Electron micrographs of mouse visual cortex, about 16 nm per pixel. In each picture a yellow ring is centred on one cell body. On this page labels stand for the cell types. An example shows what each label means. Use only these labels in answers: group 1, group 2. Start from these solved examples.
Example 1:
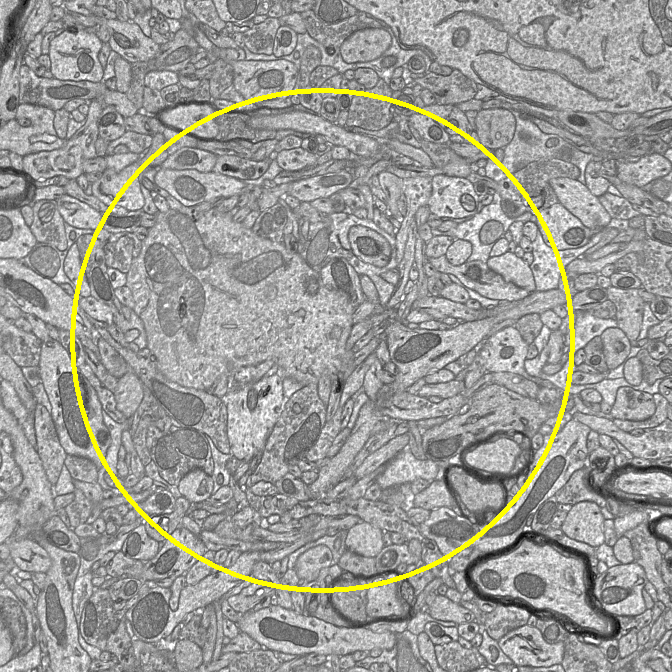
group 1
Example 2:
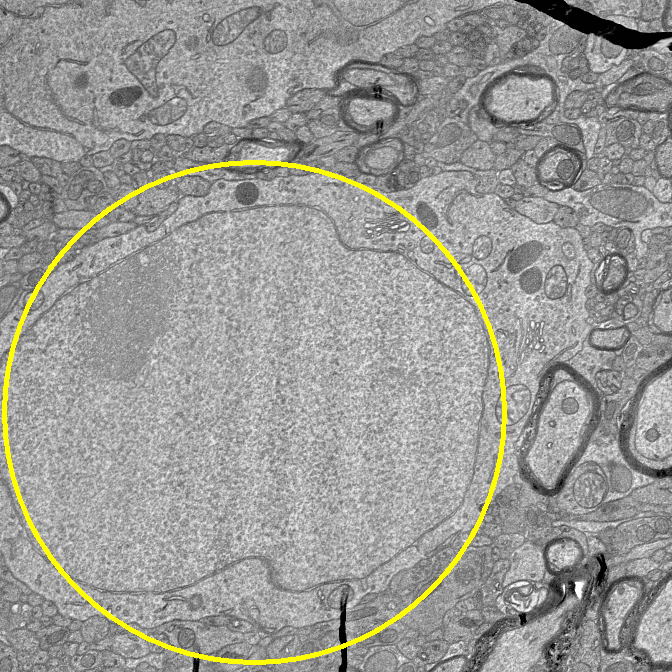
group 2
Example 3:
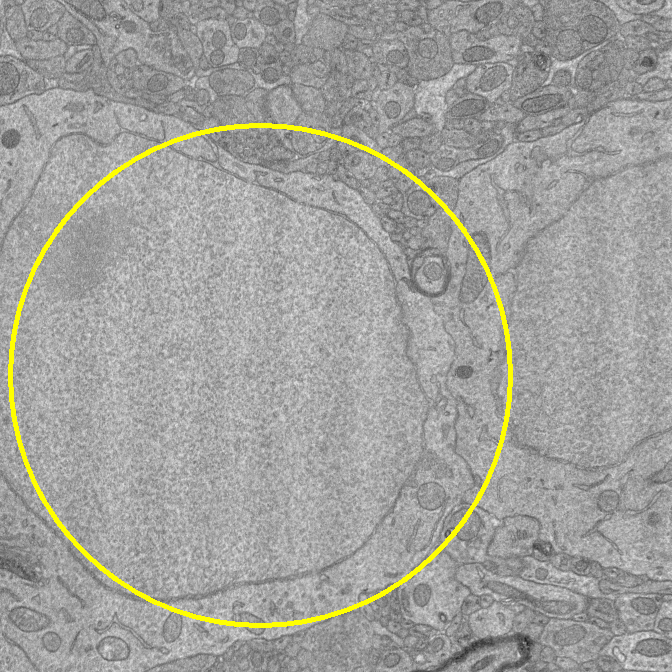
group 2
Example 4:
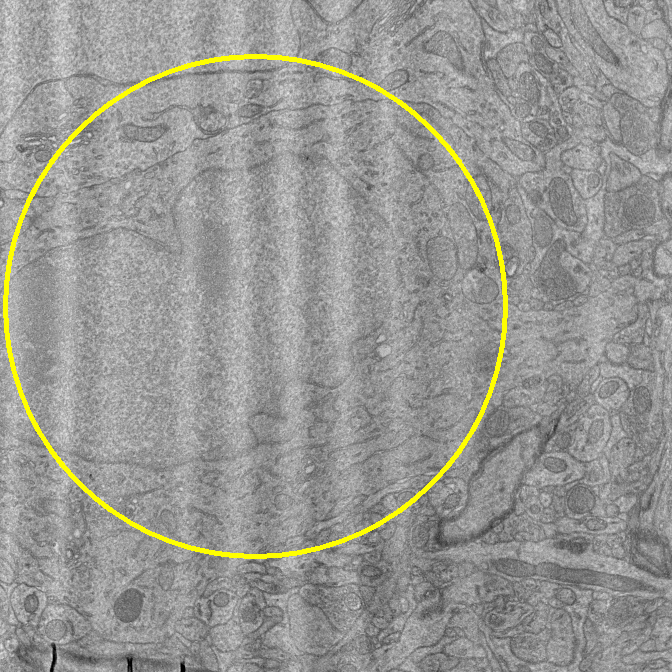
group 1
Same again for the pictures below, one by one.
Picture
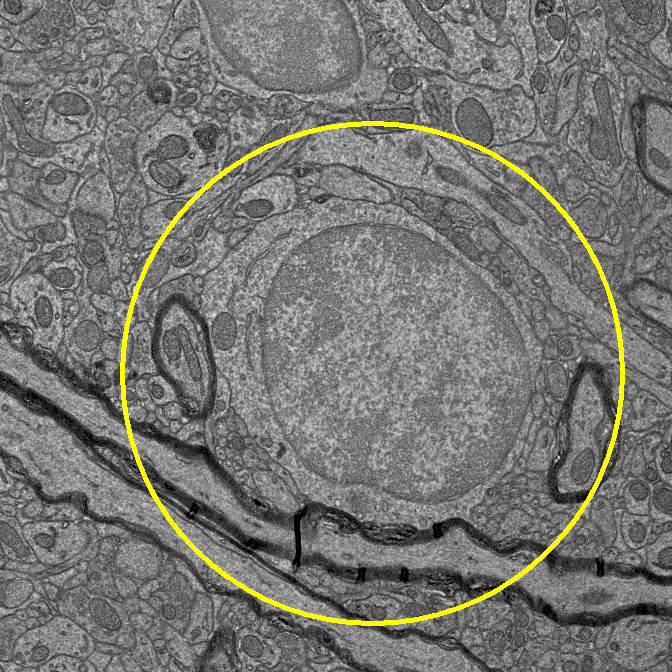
group 1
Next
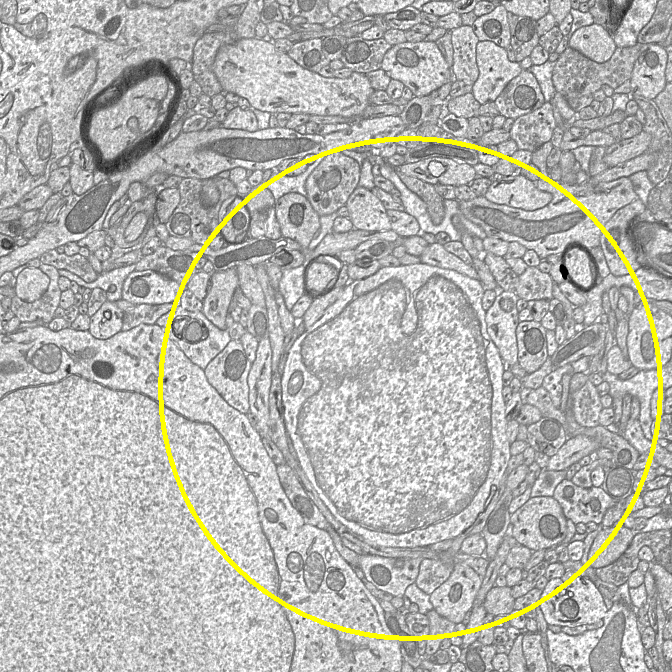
group 1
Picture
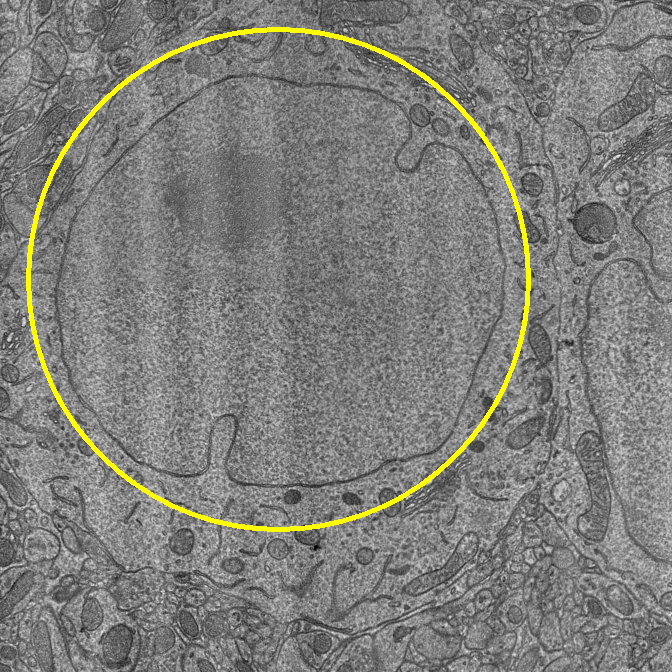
group 2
